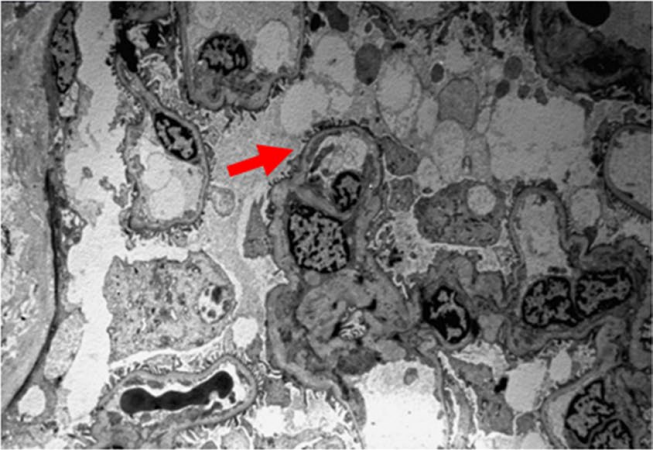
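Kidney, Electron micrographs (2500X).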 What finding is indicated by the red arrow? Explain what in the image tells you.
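The arrow points to the outer side of a capillary wall. Along part of that wall the covering cell layer lies as a continuous band rather than separate small feet.
Conclusion: partial fusion of foot processes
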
